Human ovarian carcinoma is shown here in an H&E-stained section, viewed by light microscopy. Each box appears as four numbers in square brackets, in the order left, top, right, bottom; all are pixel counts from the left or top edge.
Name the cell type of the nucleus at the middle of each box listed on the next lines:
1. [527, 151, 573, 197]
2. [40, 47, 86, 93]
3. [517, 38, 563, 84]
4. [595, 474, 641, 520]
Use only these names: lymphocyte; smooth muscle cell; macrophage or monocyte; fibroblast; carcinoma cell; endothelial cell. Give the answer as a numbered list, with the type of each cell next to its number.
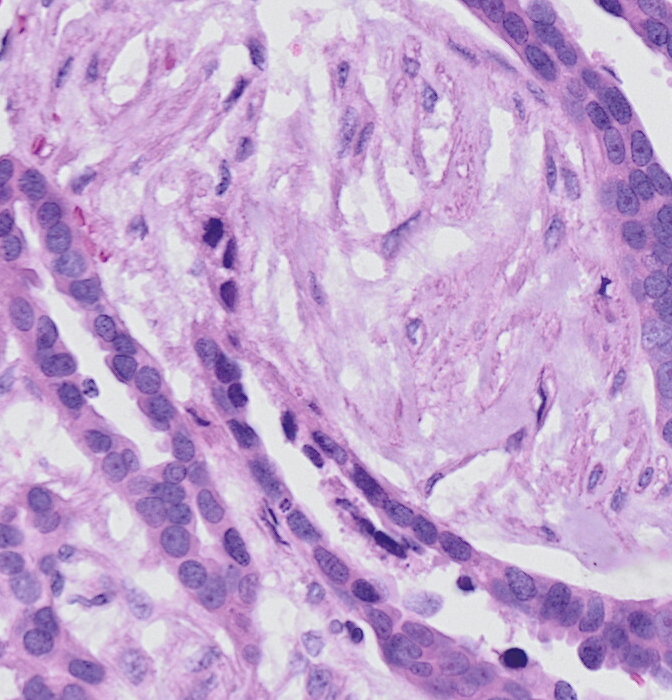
1. fibroblast
2. fibroblast
3. carcinoma cell
4. fibroblast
